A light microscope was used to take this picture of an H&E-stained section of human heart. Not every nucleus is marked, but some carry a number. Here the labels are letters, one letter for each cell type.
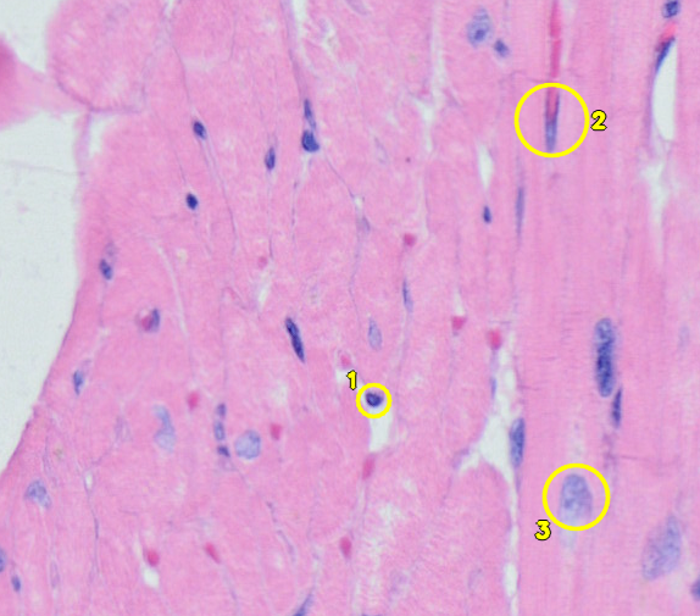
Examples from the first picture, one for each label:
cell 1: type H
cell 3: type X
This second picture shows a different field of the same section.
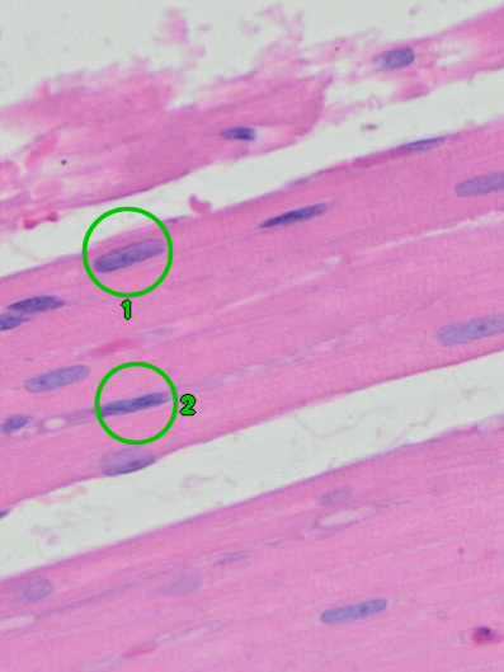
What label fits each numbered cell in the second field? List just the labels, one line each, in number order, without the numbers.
type X
type H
